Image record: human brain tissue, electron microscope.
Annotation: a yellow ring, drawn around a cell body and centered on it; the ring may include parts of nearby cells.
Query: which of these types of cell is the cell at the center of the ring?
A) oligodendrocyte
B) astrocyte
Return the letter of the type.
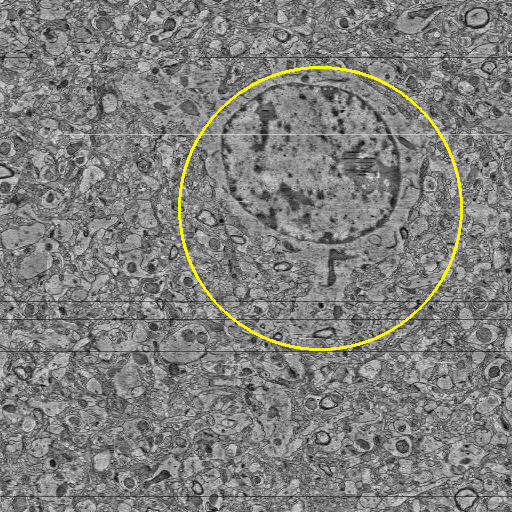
B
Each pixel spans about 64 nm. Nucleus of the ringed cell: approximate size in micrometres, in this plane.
In this plane, about 12 micrometres in length and 10 in width.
